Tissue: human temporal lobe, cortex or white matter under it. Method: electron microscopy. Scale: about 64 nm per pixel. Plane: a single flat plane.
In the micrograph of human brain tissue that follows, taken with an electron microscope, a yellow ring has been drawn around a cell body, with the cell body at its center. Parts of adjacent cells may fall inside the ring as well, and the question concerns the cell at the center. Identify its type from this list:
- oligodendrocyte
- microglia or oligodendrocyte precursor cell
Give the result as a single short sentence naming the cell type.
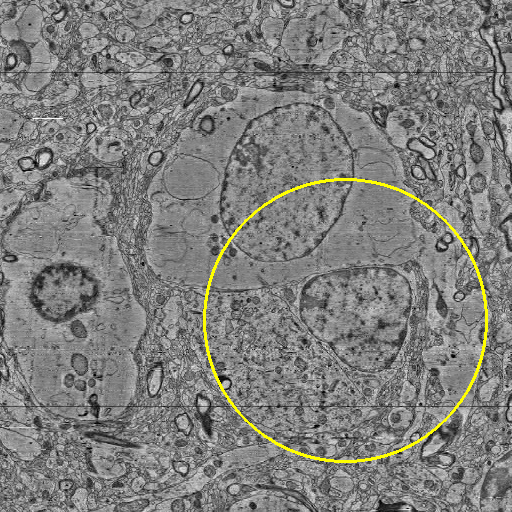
The ring is centered on a microglial cell or oligodendrocyte precursor cell.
